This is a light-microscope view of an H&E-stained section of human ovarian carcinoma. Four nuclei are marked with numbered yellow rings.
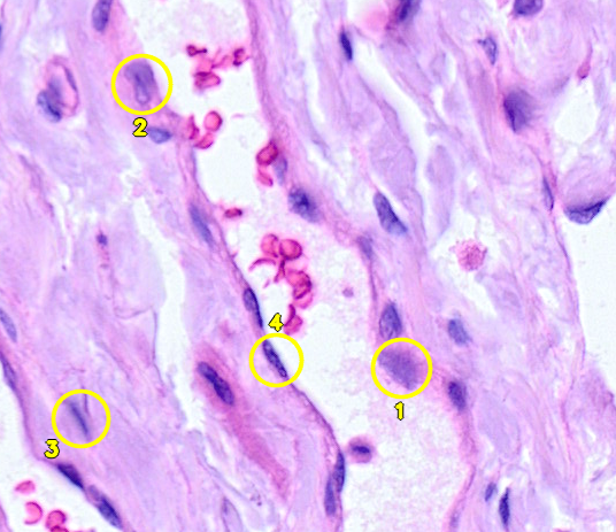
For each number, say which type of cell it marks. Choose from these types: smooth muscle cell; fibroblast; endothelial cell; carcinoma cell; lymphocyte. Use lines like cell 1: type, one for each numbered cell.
cell 1: endothelial cell
cell 2: endothelial cell
cell 3: fibroblast
cell 4: endothelial cell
